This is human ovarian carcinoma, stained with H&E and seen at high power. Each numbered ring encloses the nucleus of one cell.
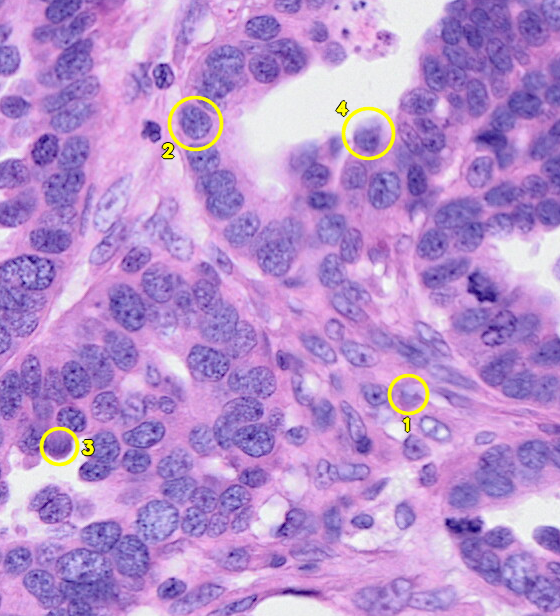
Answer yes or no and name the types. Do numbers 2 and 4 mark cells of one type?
Yes, note that cells 2 and 4 are both carcinoma cells.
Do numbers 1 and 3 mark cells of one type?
No, the cell tagged 1 is a fibroblast, whereas the cell tagged 3 is a carcinoma cell.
